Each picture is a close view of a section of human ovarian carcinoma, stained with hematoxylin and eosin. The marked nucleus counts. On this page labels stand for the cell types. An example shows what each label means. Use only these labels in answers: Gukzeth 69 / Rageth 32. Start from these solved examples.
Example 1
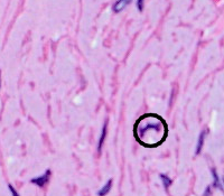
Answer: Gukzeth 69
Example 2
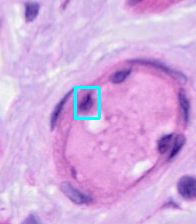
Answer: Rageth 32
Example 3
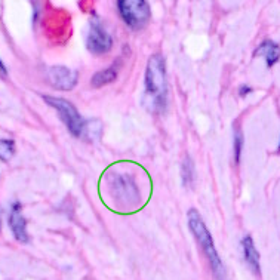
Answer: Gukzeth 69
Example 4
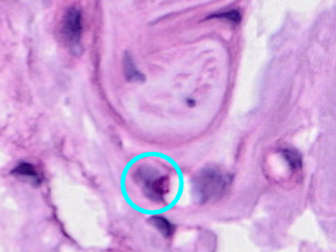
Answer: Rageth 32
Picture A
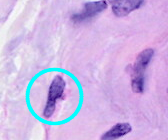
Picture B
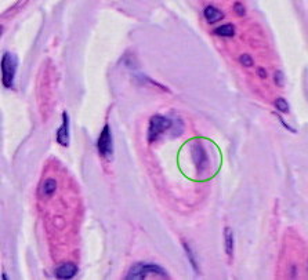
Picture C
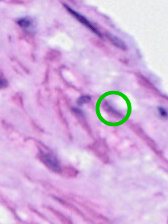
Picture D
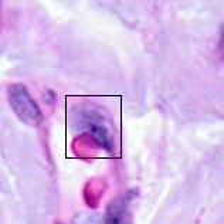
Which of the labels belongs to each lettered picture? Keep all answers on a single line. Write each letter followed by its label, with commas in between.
A Gukzeth 69, B Rageth 32, C Gukzeth 69, D Rageth 32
